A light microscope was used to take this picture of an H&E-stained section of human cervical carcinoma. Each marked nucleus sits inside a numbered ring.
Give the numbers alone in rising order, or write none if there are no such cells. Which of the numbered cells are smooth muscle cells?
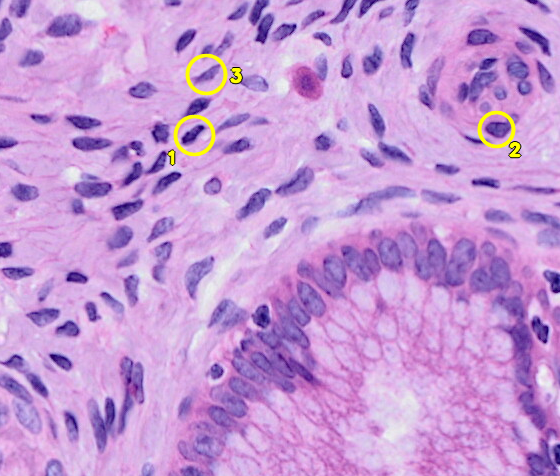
2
